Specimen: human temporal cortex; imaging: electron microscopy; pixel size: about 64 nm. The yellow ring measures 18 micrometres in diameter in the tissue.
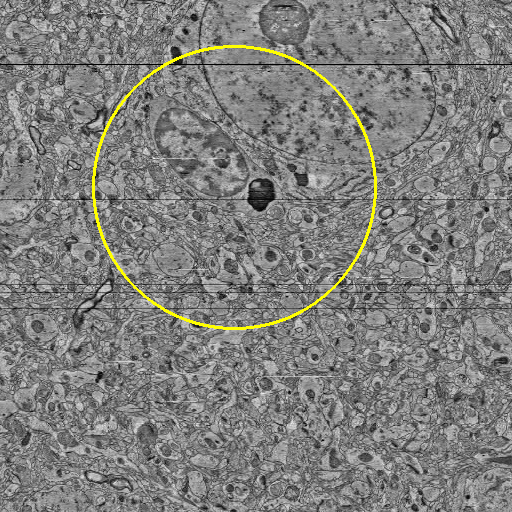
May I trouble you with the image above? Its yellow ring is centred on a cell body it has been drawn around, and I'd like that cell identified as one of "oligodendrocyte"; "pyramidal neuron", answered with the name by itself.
oligodendrocyte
